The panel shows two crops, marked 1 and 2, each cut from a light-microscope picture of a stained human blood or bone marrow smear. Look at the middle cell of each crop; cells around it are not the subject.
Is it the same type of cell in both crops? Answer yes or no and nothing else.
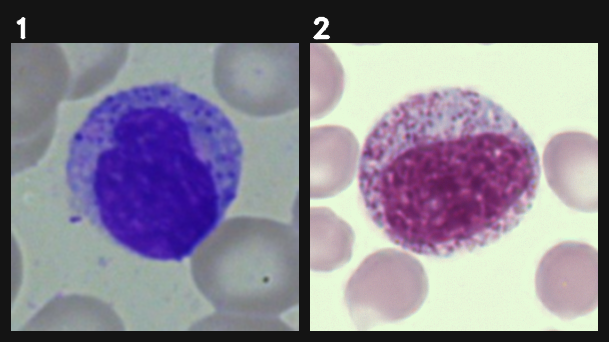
yes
